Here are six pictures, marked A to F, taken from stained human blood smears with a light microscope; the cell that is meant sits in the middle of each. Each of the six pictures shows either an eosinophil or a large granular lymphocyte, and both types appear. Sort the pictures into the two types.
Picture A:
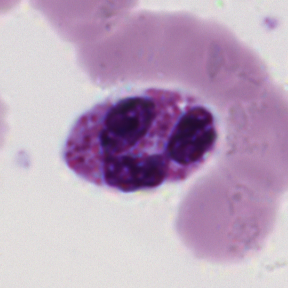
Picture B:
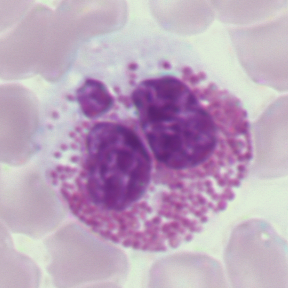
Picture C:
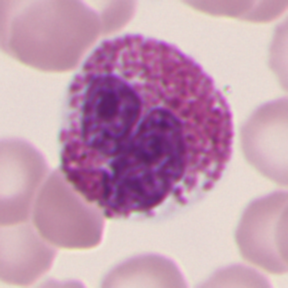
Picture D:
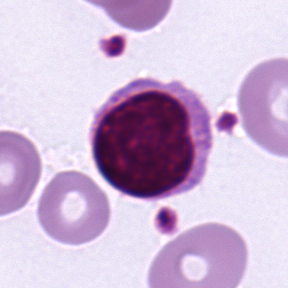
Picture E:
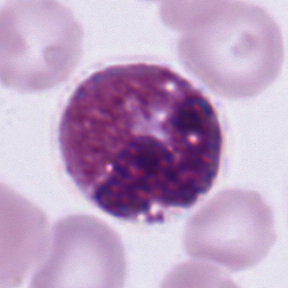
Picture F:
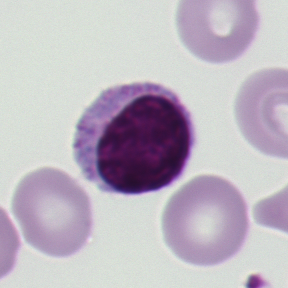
A: eosinophil
B: eosinophil
C: eosinophil
D: large granular lymphocyte
E: eosinophil
F: large granular lymphocyte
